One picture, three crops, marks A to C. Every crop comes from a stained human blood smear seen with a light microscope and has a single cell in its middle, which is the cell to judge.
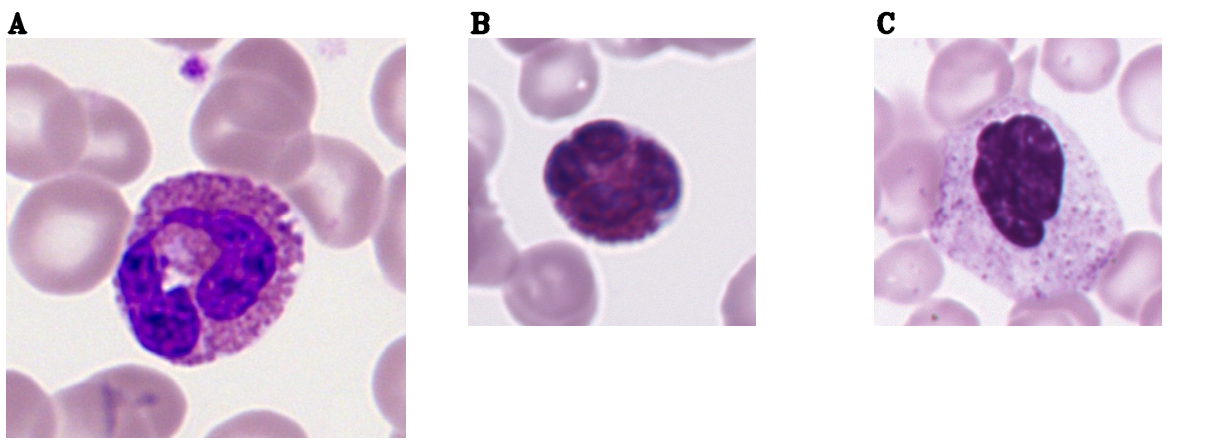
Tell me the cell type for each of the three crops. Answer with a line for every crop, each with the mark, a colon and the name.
A: eosinophil
B: eosinophil
C: segmented neutrophil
